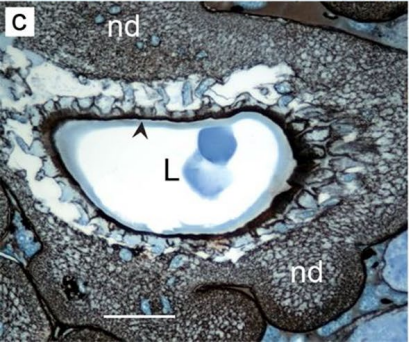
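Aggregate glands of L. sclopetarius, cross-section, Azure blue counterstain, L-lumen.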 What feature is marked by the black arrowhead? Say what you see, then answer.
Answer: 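A thin, smooth, acellular layer lines the lumen directly. It is stained dark black, separating the lumen from the surrounding cells.
Cuticle.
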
